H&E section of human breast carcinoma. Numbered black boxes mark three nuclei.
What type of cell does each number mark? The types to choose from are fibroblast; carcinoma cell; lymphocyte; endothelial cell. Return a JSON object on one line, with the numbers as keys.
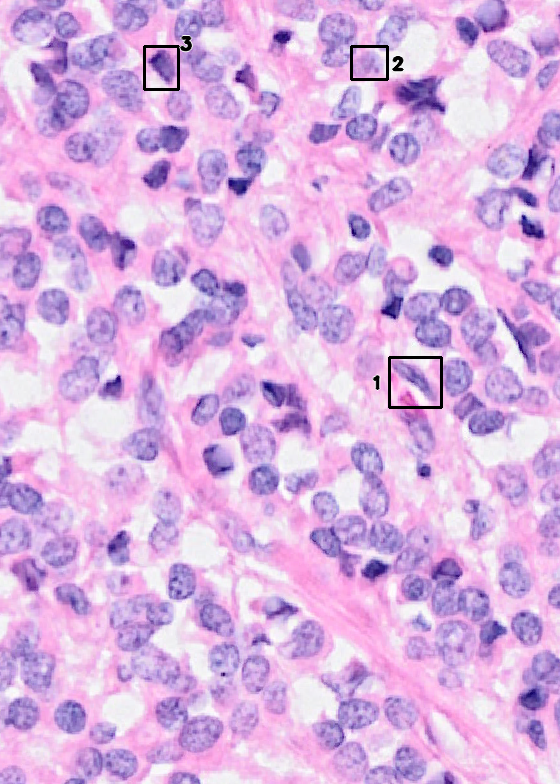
{"1": "endothelial cell", "2": "carcinoma cell", "3": "carcinoma cell"}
